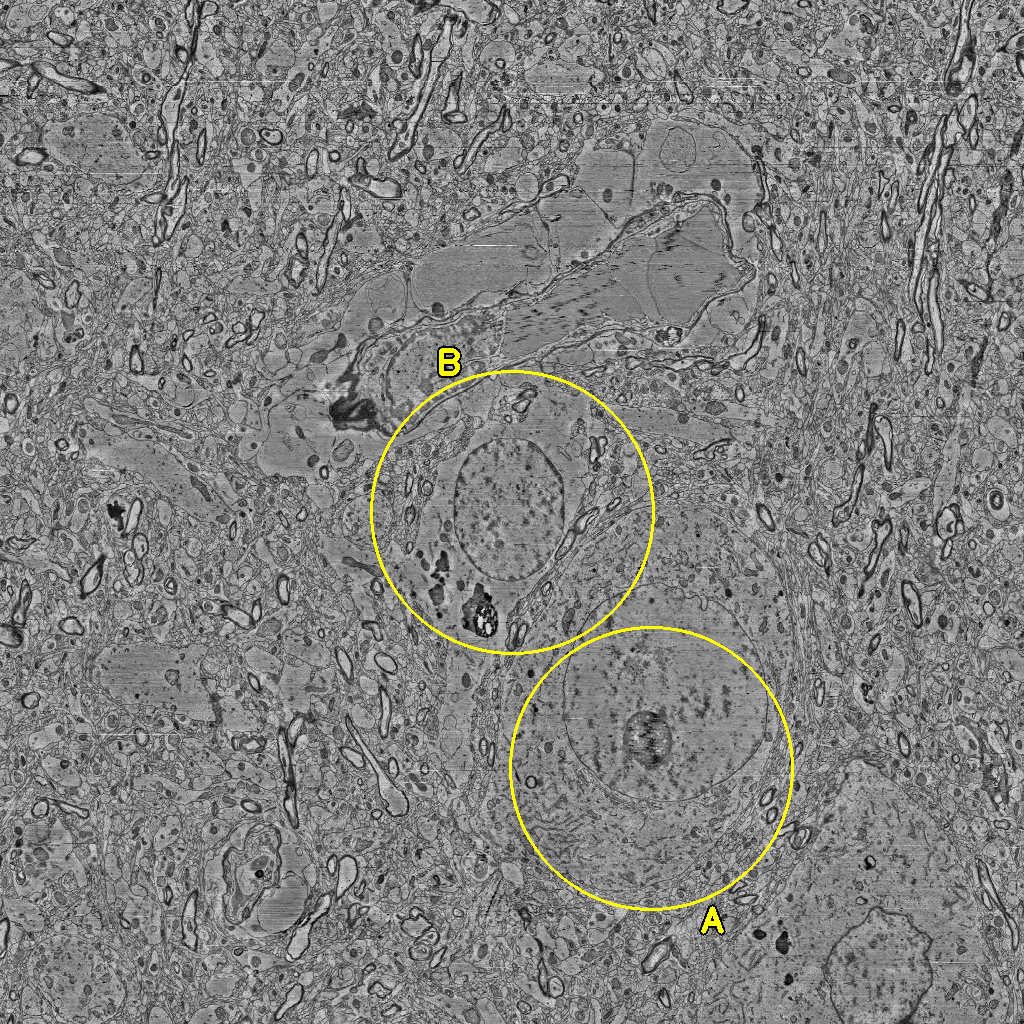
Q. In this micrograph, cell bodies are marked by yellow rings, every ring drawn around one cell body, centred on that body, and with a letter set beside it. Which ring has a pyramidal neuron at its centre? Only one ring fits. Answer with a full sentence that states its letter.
The ring lettered A surrounds the cell asked for at its centre.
